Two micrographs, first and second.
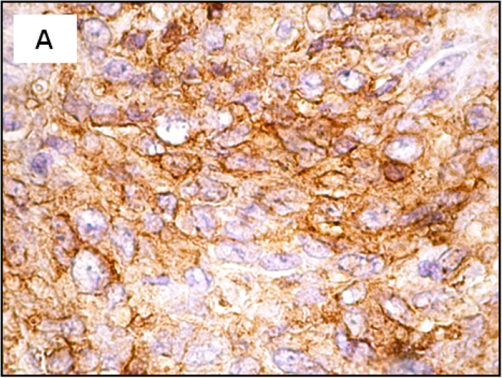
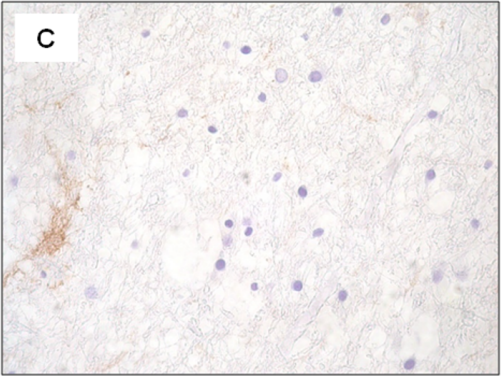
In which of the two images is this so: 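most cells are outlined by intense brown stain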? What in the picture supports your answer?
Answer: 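Second image: pale tissue with scattered blue nuclei and only a small faint brown streak at the left edge. First image: densely packed cells with strong brown staining around and between them. On this evidence: the first image.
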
